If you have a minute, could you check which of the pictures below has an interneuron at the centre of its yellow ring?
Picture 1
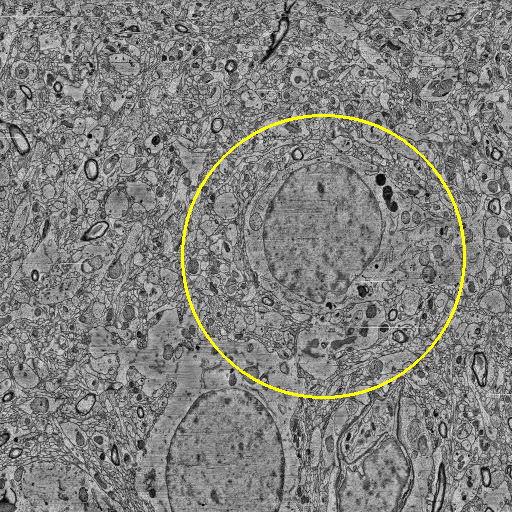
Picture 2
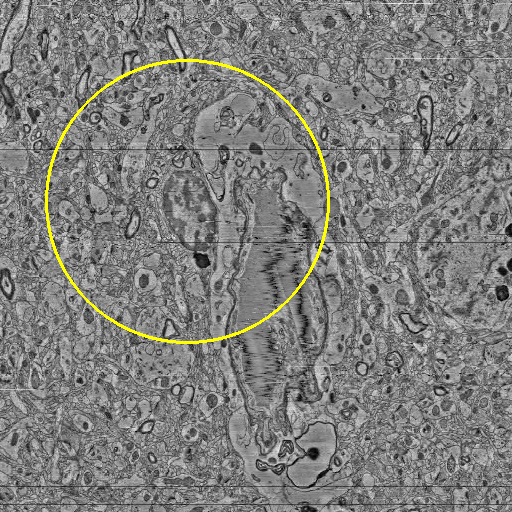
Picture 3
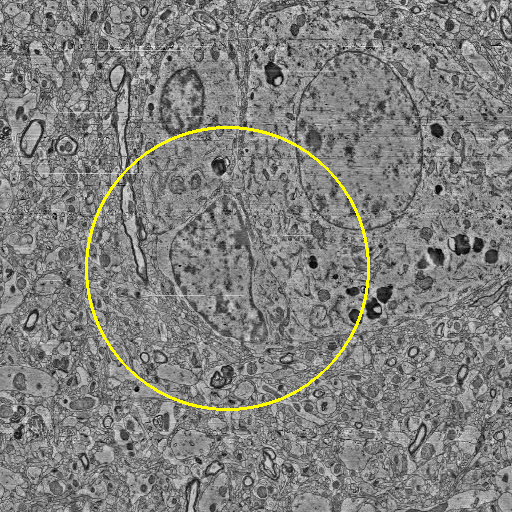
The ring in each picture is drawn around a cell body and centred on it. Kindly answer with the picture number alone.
1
